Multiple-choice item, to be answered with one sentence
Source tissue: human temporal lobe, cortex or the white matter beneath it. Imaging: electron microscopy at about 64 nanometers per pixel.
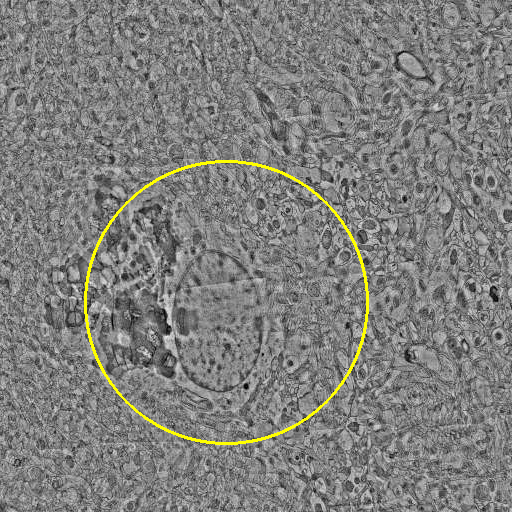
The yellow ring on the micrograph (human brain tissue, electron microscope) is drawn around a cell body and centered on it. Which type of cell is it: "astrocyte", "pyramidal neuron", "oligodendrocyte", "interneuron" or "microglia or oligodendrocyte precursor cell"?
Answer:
The ring is centered on an astrocyte.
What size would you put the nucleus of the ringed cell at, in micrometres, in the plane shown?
Approximately 9 by 6 micrometers in this plane.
